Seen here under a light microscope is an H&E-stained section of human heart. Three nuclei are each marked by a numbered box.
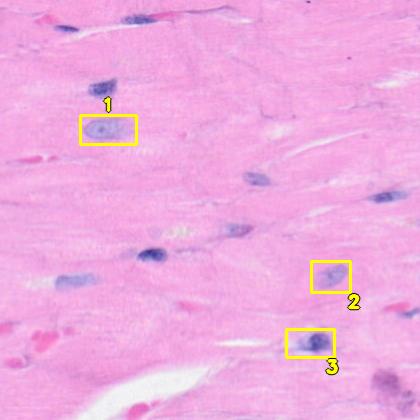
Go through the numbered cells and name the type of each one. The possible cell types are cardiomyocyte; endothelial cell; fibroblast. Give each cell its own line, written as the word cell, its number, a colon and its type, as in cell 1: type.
cell 1: cardiomyocyte
cell 2: cardiomyocyte
cell 3: endothelial cell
